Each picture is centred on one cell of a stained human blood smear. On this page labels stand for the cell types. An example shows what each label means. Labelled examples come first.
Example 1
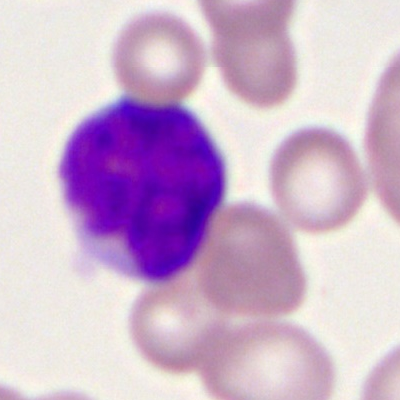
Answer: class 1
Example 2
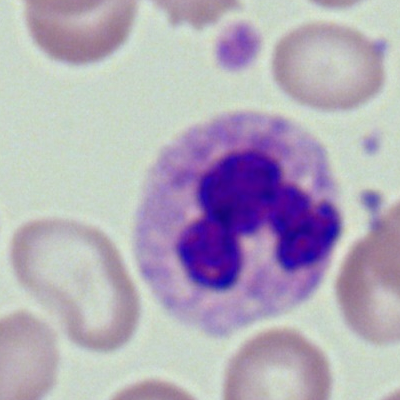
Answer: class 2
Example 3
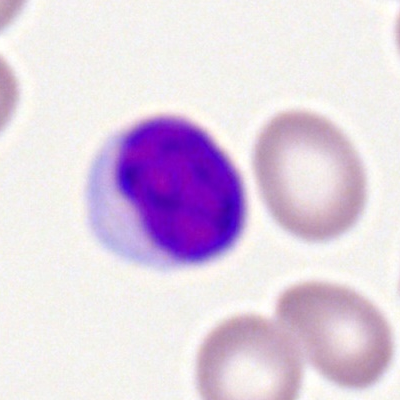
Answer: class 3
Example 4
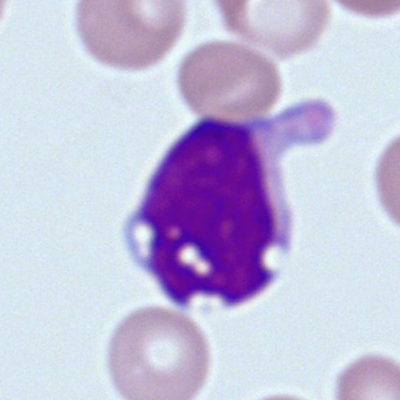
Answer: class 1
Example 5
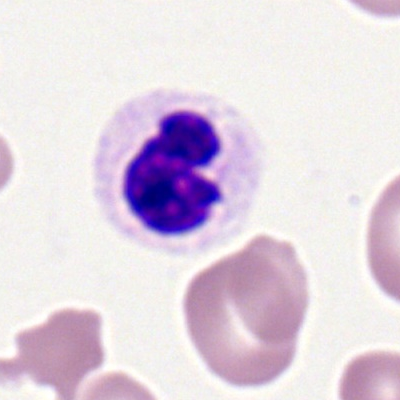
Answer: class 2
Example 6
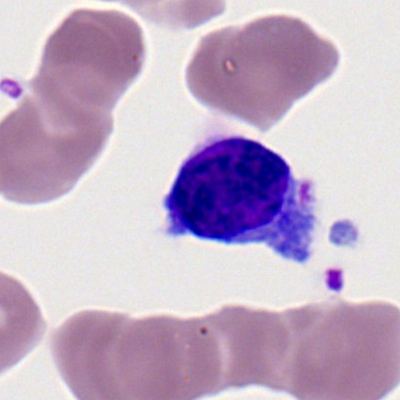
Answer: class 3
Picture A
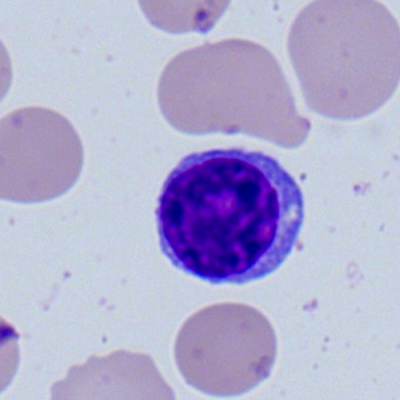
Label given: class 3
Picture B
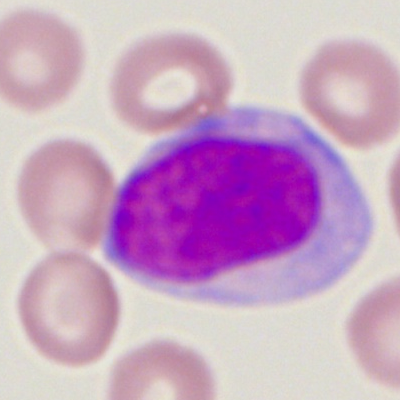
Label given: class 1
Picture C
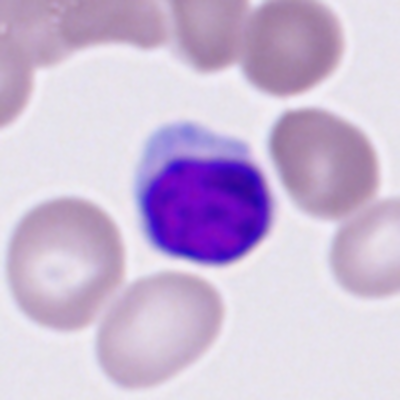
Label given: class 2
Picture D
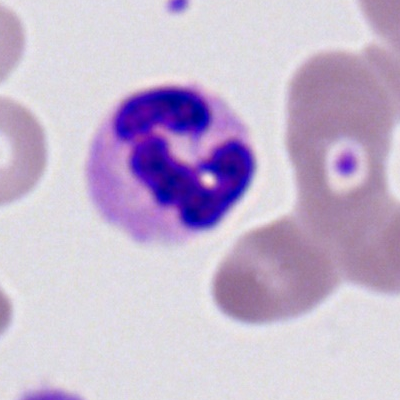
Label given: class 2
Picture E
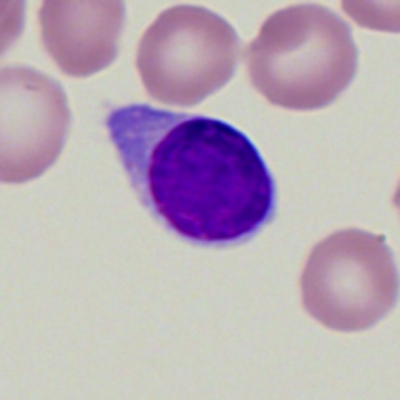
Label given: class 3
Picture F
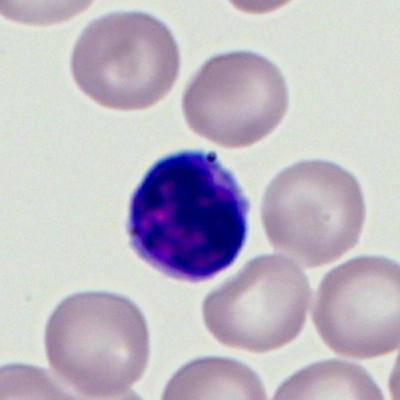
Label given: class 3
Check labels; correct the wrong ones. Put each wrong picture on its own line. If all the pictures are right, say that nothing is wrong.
C: not class 2 but class 3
